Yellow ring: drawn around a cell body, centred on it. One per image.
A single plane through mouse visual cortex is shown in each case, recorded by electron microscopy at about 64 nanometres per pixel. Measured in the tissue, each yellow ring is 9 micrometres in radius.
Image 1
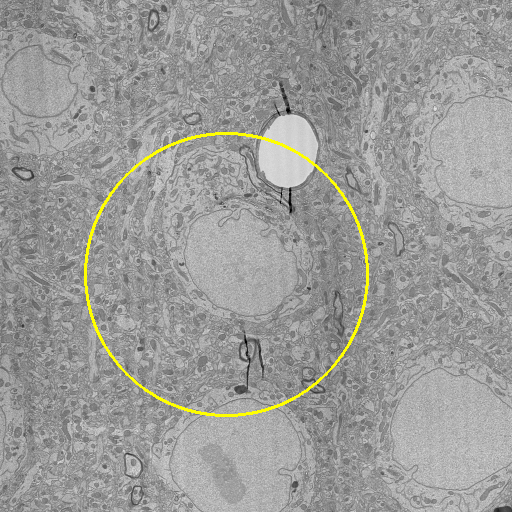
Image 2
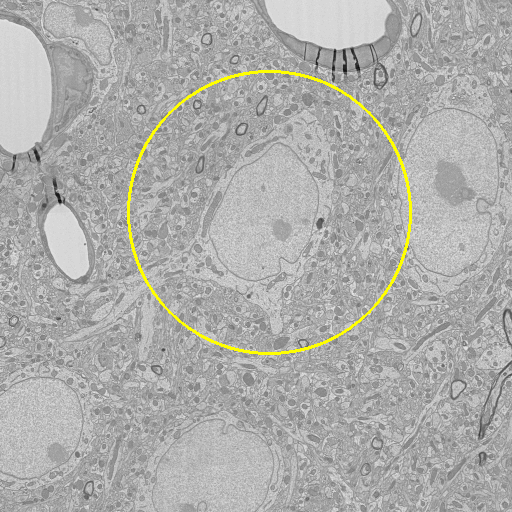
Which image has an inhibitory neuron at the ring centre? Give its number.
1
